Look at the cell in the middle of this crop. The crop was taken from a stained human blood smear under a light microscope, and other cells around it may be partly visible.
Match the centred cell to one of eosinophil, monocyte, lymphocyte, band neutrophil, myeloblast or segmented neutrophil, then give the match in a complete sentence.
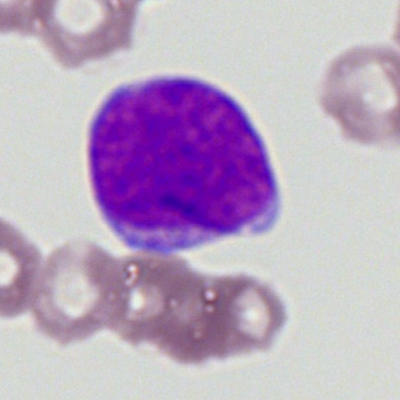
Standing at the centre of this crop is a myeloblast.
